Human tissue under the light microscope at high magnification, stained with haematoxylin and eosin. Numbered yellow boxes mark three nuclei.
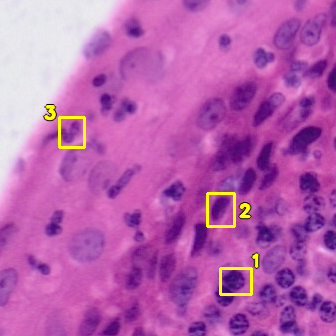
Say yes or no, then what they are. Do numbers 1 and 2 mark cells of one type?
No, cell 1 is a plasma cell and cell 2 is a squamous epithelial cell.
